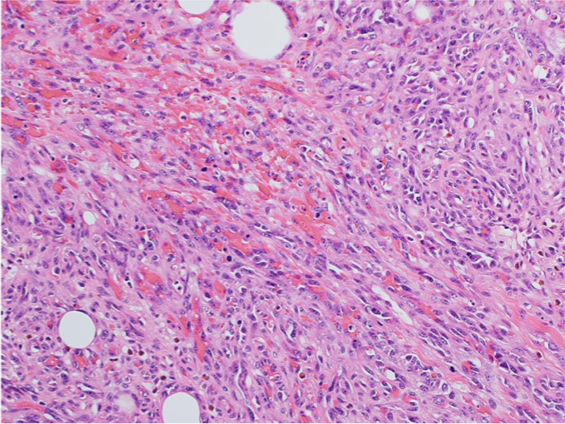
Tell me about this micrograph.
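A densely cellular tumor fills the field, made of crowded cells with elongated, spindle-shaped, darkly staining nuclei and pink cytoplasm. The cells run in sweeping bundles that cross one another, with some plumper, more rounded nuclei among them. Between the cells lie streaks and pools of bright red blood cells, so the tumor looks hemorrhagic. A few round empty fat spaces are trapped at the edges, showing the tumor growing among fatty tissue. This is a solid, hemorrhagic spindle-cell tumor.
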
